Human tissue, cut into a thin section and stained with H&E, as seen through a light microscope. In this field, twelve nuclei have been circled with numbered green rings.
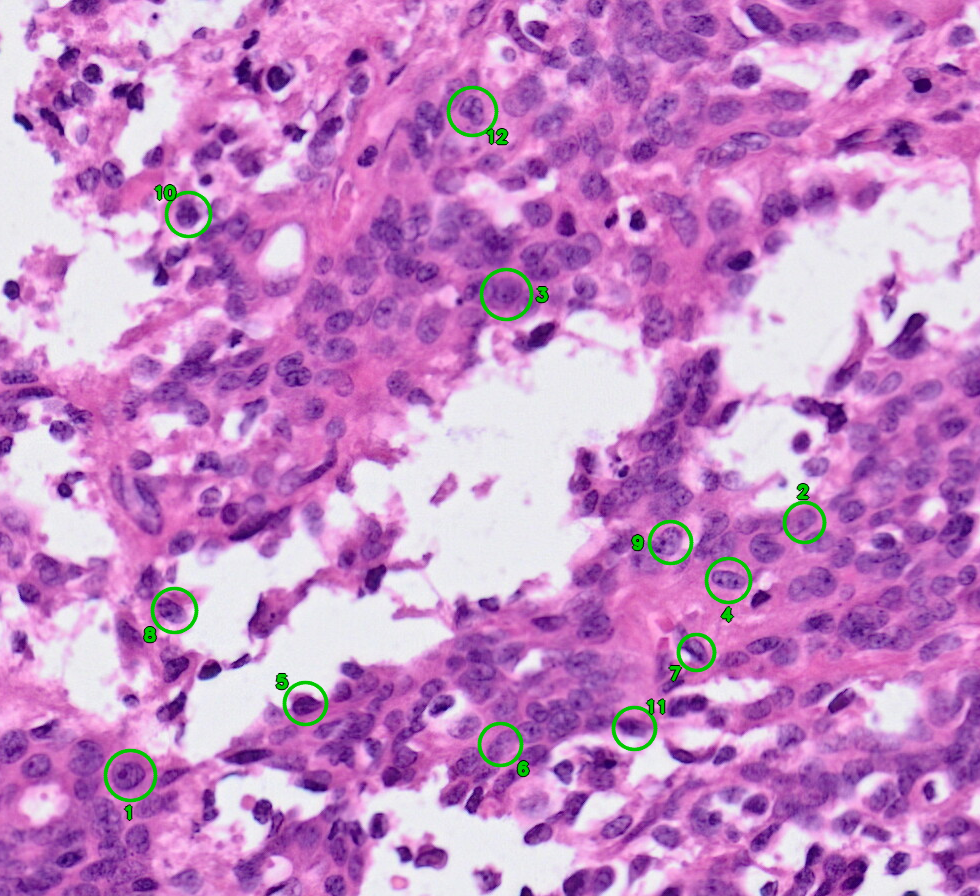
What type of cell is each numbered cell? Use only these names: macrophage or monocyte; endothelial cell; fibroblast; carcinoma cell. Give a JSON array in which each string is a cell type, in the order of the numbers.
["carcinoma cell", "carcinoma cell", "carcinoma cell", "macrophage or monocyte", "carcinoma cell", "carcinoma cell", "endothelial cell", "macrophage or monocyte", "macrophage or monocyte", "carcinoma cell", "carcinoma cell", "macrophage or monocyte"]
